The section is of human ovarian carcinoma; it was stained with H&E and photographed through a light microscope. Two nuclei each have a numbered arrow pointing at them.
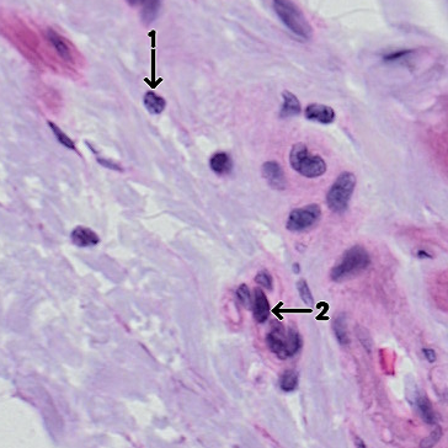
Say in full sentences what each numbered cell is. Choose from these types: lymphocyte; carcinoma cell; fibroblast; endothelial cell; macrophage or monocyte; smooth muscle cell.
Cell 1 is a lymphocyte and cell 2 is an endothelial cell.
